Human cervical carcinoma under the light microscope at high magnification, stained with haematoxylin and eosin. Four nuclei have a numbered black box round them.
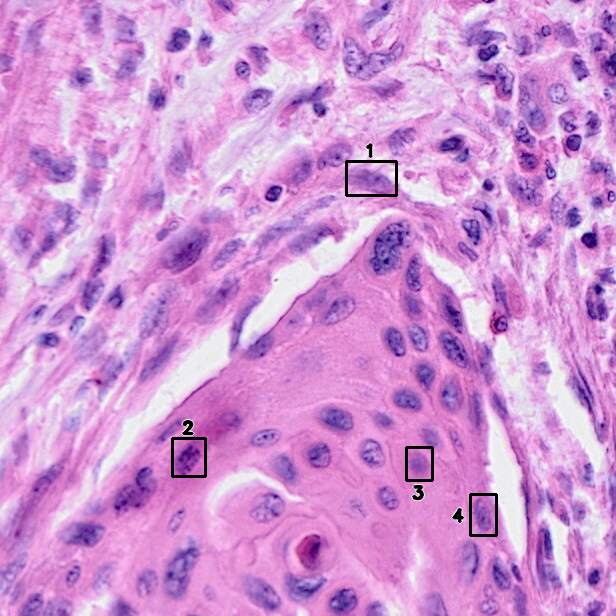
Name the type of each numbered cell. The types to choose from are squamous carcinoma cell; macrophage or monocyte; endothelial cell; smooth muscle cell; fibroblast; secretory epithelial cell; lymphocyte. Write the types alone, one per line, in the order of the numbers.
fibroblast
squamous carcinoma cell
squamous carcinoma cell
squamous carcinoma cell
